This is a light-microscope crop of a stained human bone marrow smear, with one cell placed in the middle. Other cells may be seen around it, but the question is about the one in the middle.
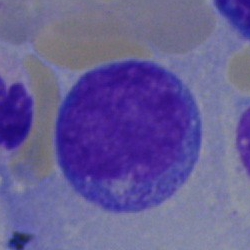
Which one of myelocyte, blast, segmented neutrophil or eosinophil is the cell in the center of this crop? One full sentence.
This crop has a blast at its centre.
